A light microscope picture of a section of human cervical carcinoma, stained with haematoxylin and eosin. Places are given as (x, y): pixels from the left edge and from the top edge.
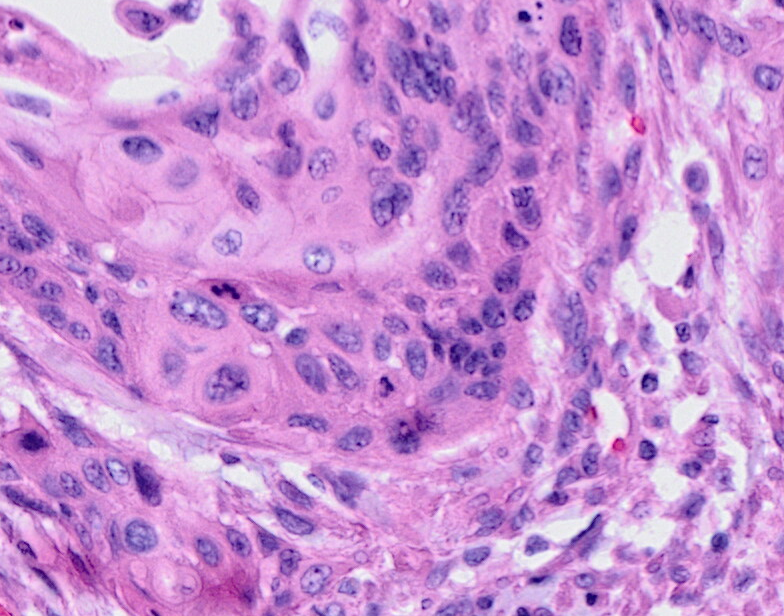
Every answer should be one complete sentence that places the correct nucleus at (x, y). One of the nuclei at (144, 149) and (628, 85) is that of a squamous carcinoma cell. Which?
Which one belongs to a squamous carcinoma cell? The nucleus at (144, 149) does.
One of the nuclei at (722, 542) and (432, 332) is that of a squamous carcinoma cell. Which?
The nucleus at (432, 332) is identified as belonging to a squamous carcinoma cell.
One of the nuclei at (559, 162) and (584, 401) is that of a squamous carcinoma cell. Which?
The nucleus at (559, 162) is the one that belongs to a squamous carcinoma cell.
